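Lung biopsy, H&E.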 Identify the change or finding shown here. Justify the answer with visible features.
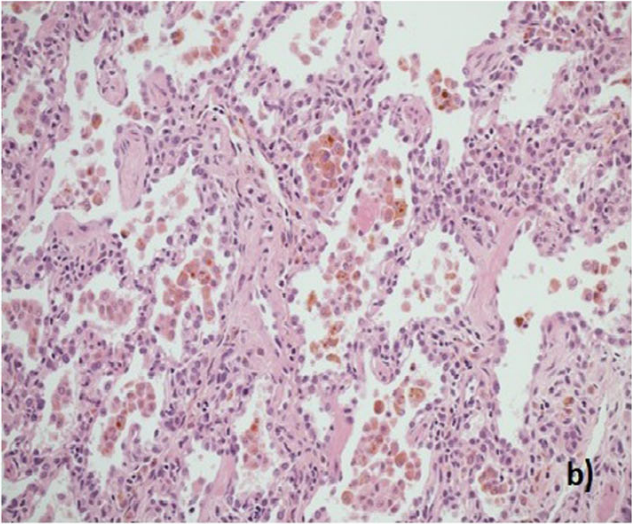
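Reactive type 2 hyperplasia. Alveolar walls are lined by closely packed plump cells with rounded nuclei. The lining cells crowd along the septa rather than forming a thin flat layer.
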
